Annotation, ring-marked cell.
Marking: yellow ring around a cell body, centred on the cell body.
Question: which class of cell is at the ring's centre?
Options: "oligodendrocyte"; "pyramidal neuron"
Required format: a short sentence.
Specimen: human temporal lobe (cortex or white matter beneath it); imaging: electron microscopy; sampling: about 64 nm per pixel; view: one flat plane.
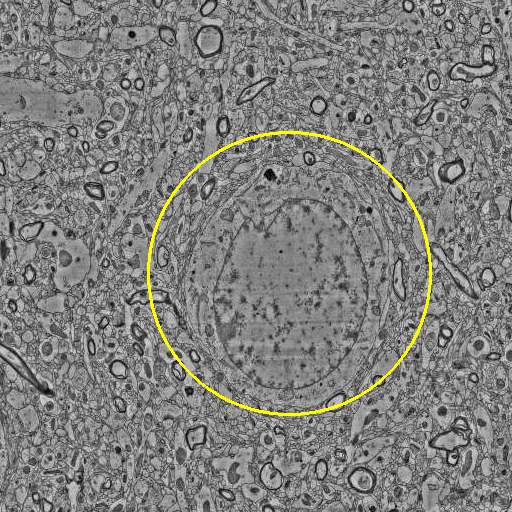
At the ring's centre is a pyramidal neuron.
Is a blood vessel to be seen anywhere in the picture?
No, no vessel appears in the picture.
